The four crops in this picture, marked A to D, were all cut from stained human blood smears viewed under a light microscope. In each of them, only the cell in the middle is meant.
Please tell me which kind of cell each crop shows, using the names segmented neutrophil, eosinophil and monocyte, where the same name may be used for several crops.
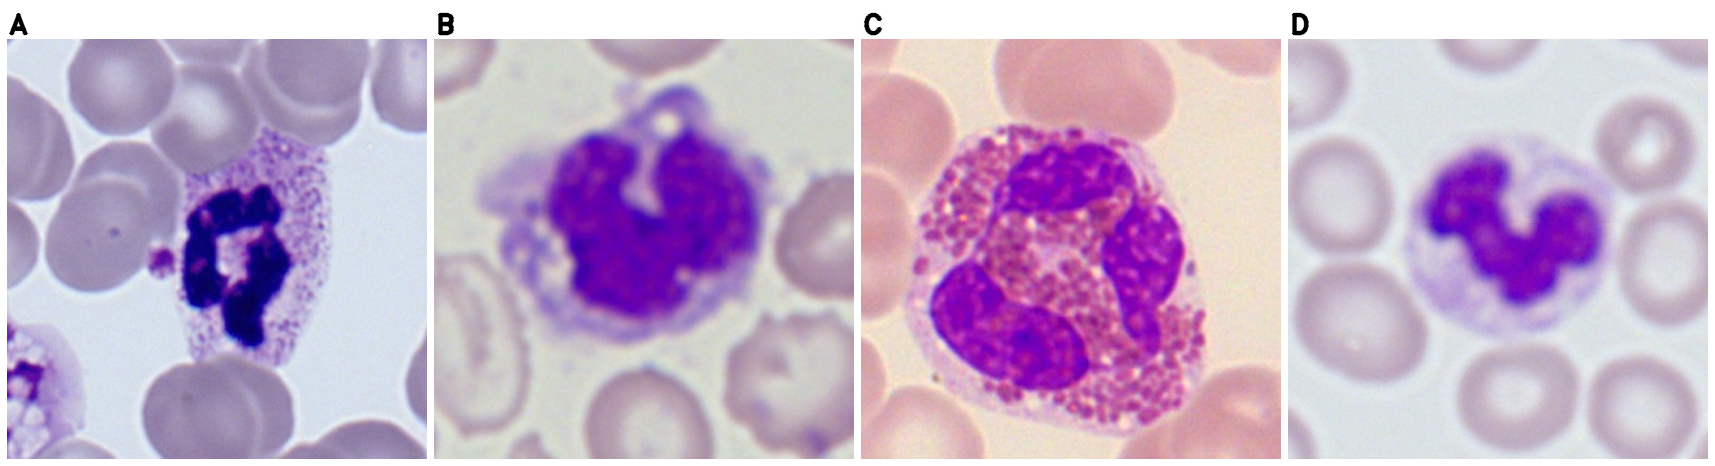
A: segmented neutrophil
B: monocyte
C: eosinophil
D: segmented neutrophil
